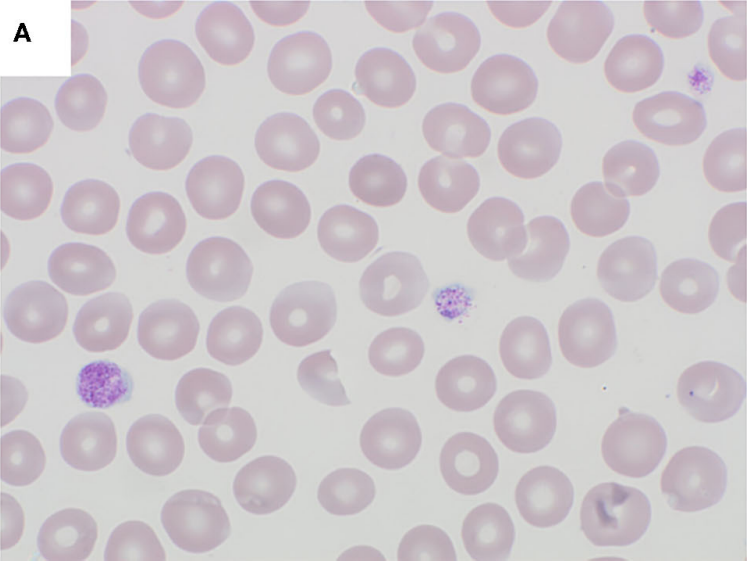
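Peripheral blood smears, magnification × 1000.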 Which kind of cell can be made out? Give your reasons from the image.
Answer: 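Purple, finely granular, anucleate bodies lie among the red cells. The largest of them is about the size of the neighbouring red cells. Two smaller granular bodies of the same kind are also present. That points to this answer: giant platelets.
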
